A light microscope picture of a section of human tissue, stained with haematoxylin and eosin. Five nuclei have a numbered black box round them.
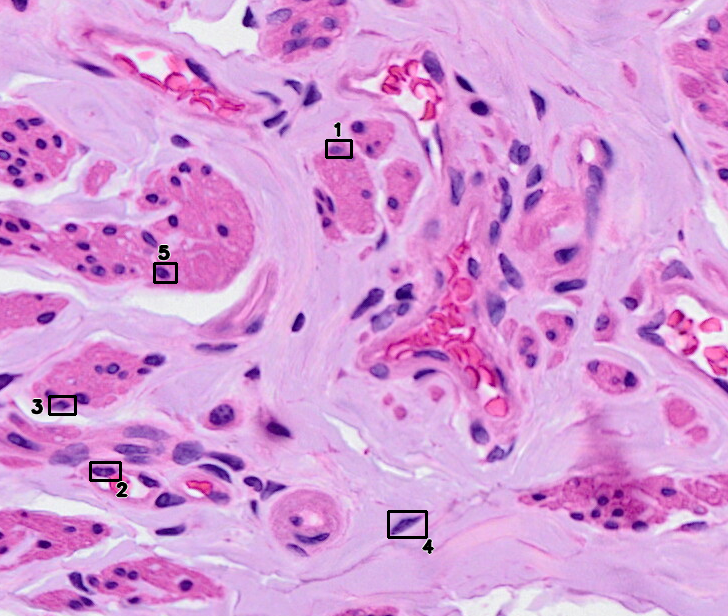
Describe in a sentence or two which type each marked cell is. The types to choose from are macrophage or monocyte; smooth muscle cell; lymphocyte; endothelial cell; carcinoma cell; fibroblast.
Cell 1 is a smooth muscle cell, cell 2 is an endothelial cell, cell 3 is a smooth muscle cell, cell 4 is a fibroblast and cell 5 is a smooth muscle cell.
